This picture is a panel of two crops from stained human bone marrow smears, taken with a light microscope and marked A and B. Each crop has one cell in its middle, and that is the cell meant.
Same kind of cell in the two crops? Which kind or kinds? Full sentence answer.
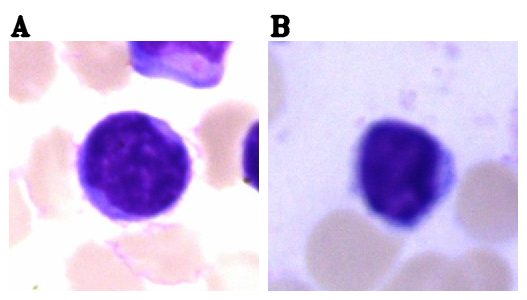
Yes, both crops do show lymphocytes in the middle.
